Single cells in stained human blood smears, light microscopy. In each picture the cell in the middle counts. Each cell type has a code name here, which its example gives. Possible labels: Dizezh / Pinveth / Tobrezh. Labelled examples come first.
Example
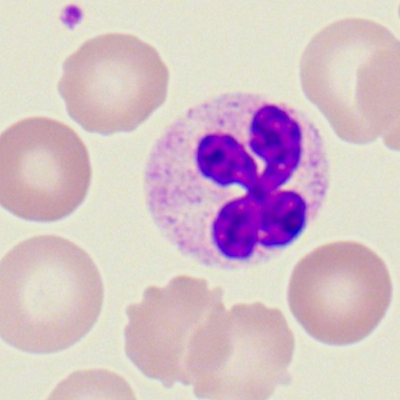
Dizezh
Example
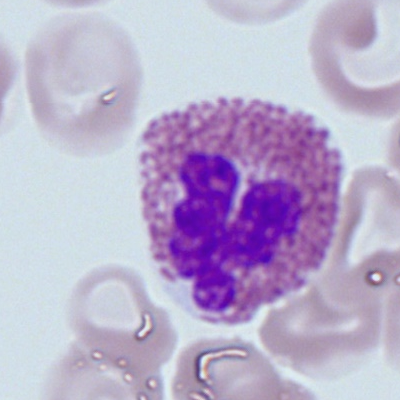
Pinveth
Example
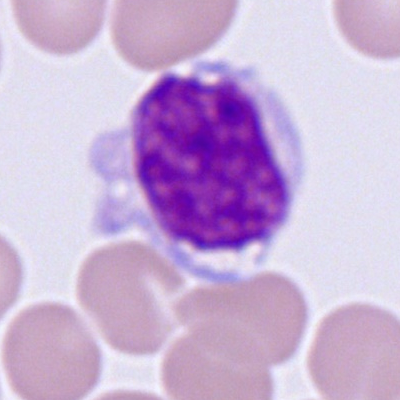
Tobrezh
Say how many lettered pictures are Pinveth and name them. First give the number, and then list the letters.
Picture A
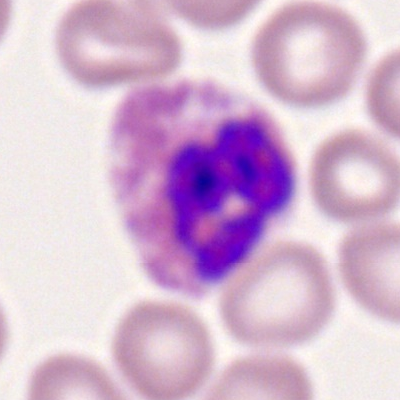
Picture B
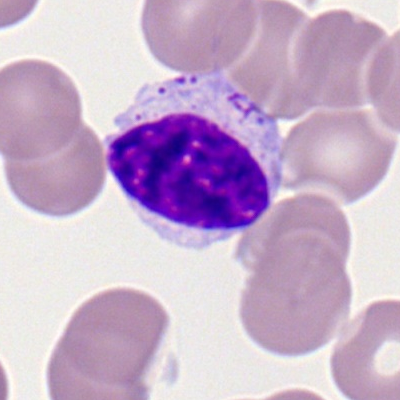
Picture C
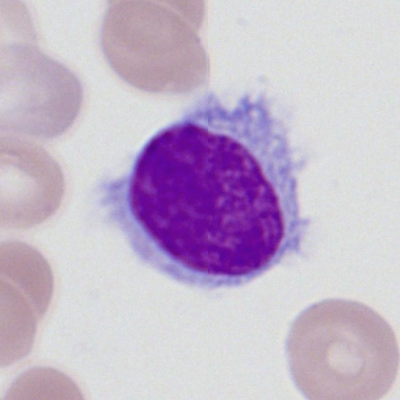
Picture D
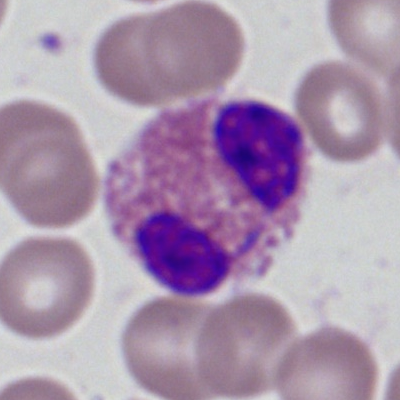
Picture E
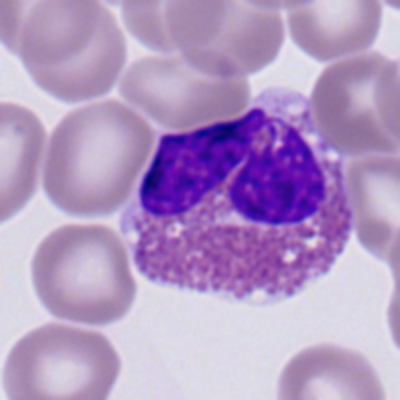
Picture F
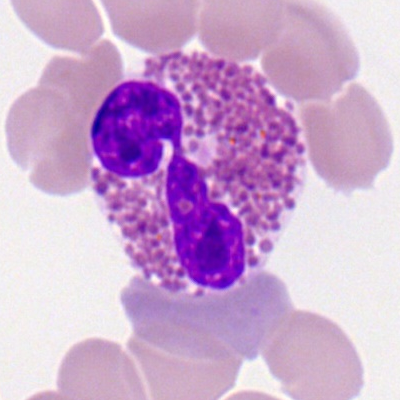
Count: 4 (A, D, E, F)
